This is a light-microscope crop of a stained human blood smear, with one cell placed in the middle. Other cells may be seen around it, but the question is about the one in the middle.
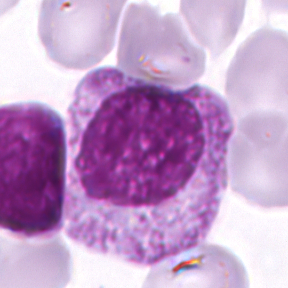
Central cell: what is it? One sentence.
In the crop, the cell of interest at the centre is a myelocyte.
